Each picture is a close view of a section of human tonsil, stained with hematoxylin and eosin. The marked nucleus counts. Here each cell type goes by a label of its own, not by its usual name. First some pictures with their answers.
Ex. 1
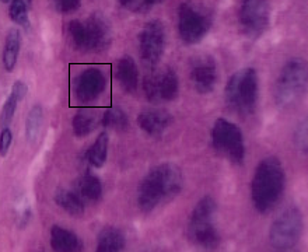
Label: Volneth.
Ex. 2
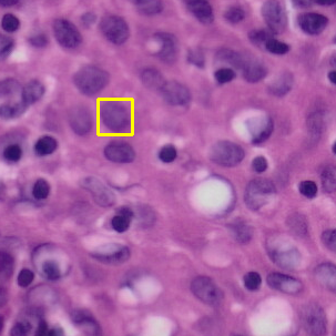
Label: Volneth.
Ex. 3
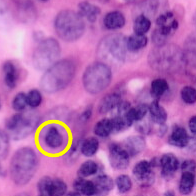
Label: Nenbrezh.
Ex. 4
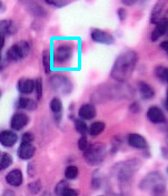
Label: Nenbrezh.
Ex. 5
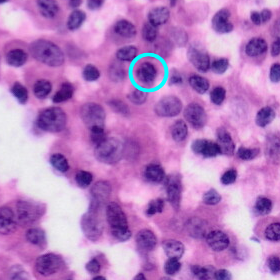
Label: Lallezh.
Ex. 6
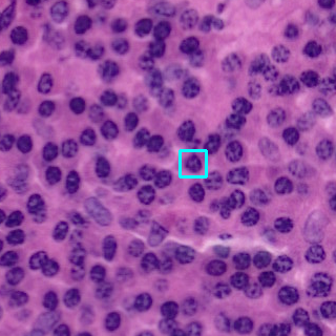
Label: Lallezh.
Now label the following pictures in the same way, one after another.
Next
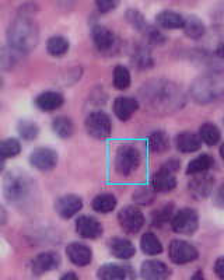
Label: Nenbrezh.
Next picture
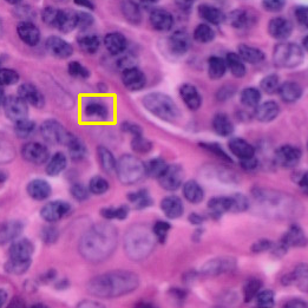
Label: Nenbrezh.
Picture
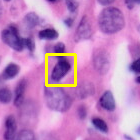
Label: Nenbrezh.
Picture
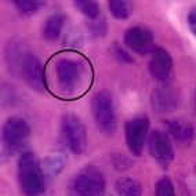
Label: Volneth.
